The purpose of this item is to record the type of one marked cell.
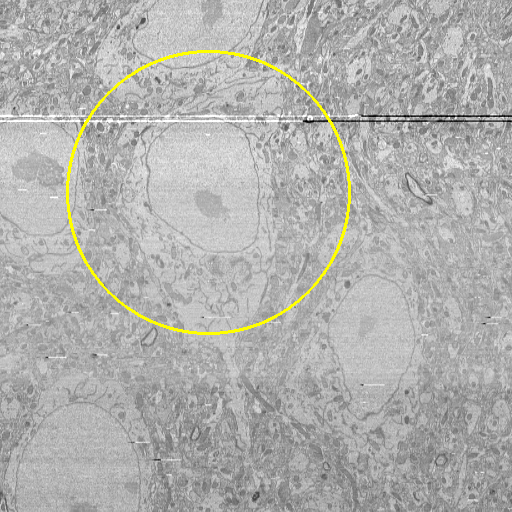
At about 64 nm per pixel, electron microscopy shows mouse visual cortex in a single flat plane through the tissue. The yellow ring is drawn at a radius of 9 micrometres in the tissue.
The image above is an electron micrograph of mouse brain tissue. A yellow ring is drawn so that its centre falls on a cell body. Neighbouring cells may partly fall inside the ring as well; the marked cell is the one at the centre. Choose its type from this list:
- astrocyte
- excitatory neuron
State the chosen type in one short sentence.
What the ring marks here is an excitatory neuron.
